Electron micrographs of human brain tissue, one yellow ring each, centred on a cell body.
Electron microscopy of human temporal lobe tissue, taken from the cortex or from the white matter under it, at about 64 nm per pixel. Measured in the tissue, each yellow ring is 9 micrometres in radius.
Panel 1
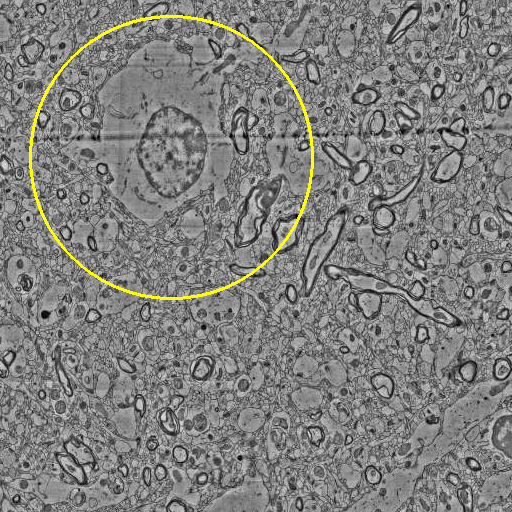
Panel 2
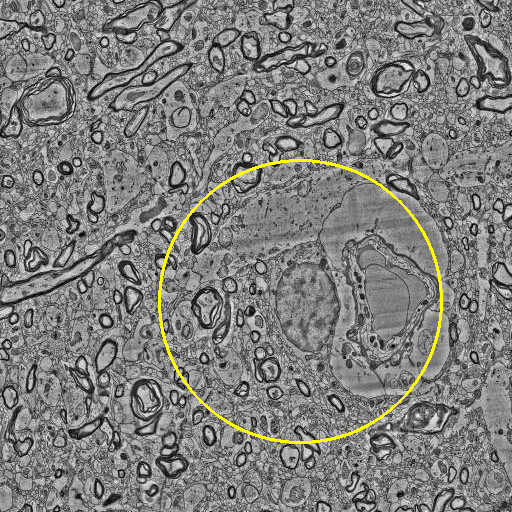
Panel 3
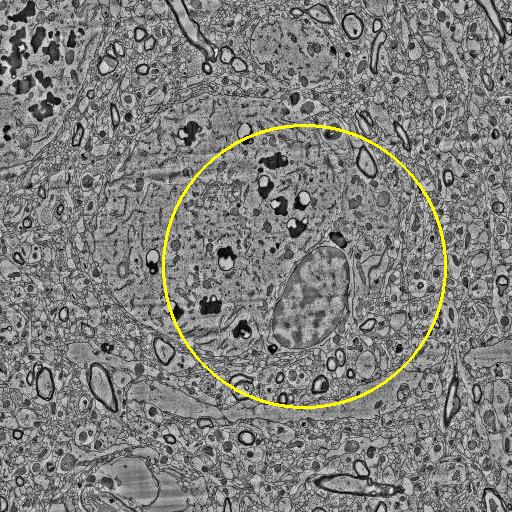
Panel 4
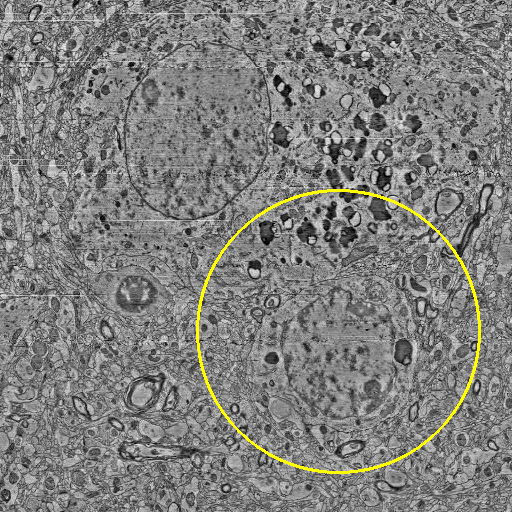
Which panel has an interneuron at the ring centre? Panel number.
4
